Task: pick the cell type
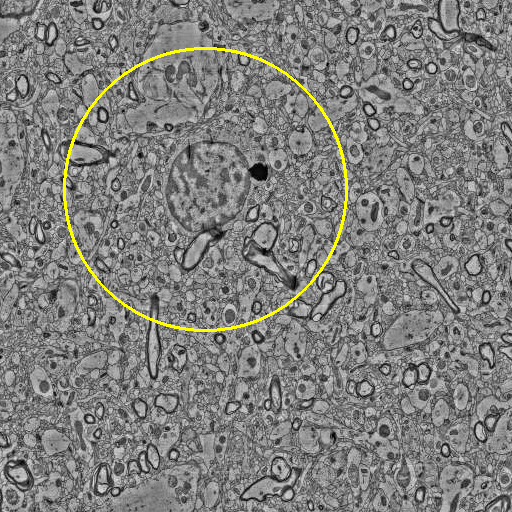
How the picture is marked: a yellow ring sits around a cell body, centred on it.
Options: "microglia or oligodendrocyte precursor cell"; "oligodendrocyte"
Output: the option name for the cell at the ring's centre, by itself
oligodendrocyte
